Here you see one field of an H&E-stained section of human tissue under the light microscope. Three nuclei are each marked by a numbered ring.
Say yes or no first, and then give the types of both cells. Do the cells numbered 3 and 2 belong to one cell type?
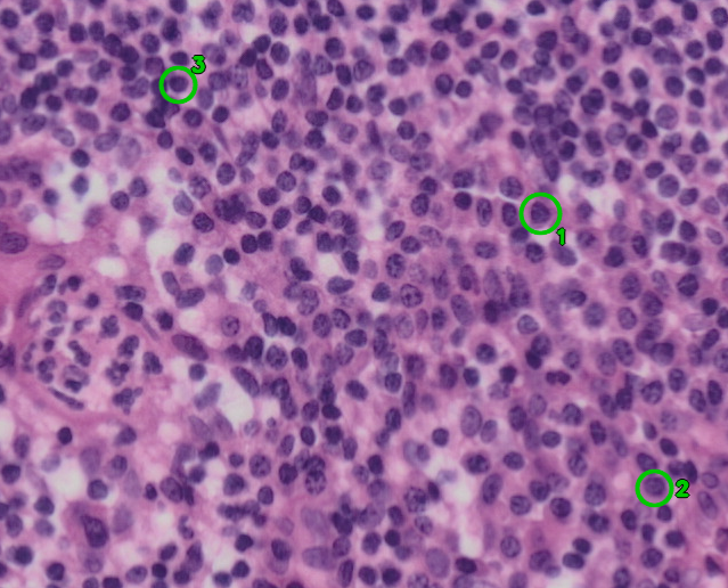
No; cell 3 is a small lymphocyte, and cell 2 is a plasma cell.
